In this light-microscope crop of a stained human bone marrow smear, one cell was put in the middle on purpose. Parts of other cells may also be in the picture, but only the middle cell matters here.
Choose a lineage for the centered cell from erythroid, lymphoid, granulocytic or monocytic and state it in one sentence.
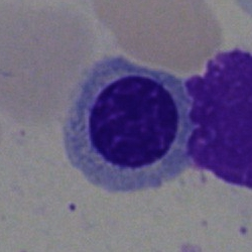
Belonging to the erythroid lineage is the cell positioned in the middle.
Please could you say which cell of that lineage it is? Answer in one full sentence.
The cell sitting right in the middle is an erythroblast.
